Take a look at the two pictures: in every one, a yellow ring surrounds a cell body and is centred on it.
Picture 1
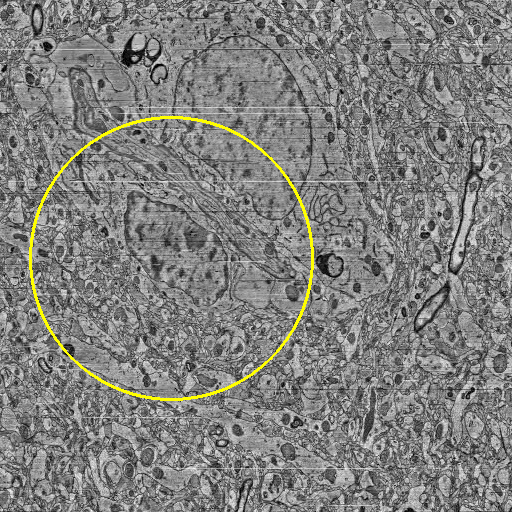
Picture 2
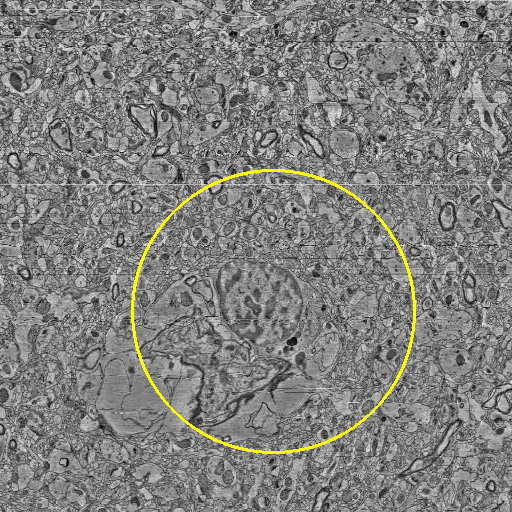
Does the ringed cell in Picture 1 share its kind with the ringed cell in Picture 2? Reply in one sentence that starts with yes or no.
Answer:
No, the two centred cells, one per picture, are of two kinds.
